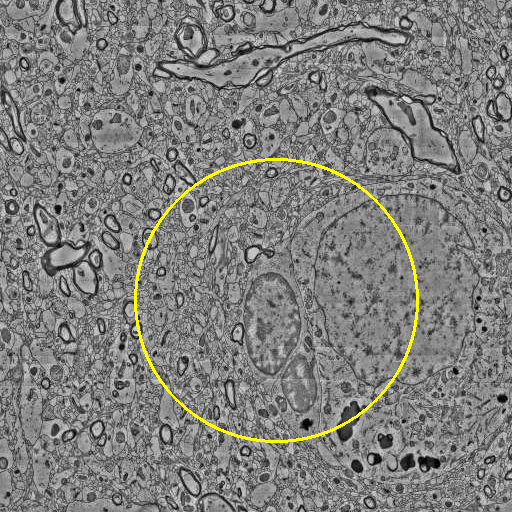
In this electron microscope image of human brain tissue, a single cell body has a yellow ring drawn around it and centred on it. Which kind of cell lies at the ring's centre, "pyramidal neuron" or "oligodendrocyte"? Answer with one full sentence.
It is an oligodendrocyte whose cell body lies at the centre of the yellow ring here.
